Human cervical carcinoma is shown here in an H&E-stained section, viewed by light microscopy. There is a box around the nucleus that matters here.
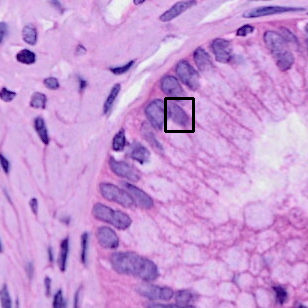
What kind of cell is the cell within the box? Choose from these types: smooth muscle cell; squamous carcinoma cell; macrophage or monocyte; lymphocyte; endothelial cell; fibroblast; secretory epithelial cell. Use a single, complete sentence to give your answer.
Histopathologically, the cell within the box is a secretory epithelial cell.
